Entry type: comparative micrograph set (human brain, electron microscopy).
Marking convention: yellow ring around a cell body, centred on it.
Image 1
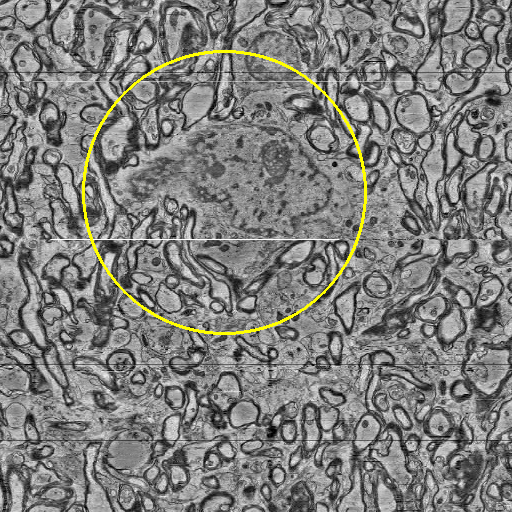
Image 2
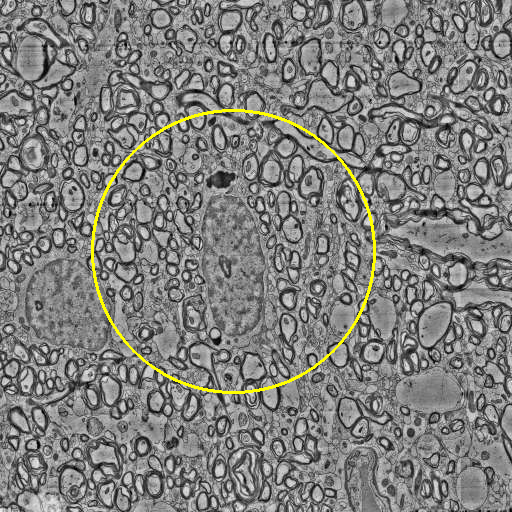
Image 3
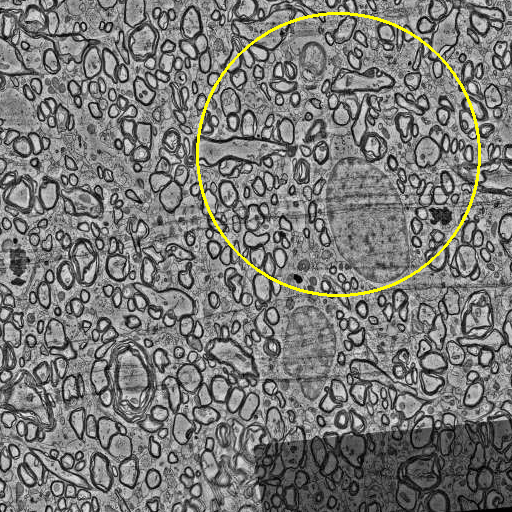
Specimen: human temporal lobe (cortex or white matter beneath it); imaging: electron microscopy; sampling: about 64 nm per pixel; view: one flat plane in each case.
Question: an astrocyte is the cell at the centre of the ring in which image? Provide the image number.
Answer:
1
